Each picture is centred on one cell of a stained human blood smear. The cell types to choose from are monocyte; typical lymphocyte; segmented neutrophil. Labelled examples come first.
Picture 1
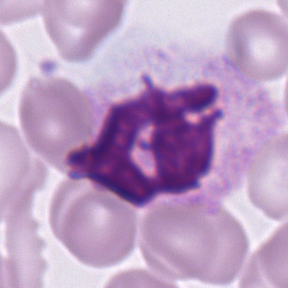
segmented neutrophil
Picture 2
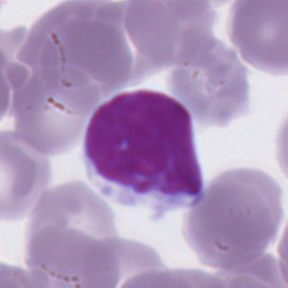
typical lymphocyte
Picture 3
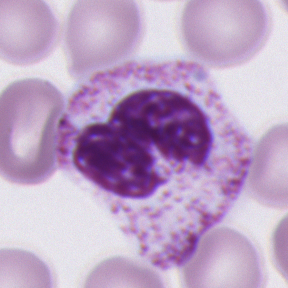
segmented neutrophil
